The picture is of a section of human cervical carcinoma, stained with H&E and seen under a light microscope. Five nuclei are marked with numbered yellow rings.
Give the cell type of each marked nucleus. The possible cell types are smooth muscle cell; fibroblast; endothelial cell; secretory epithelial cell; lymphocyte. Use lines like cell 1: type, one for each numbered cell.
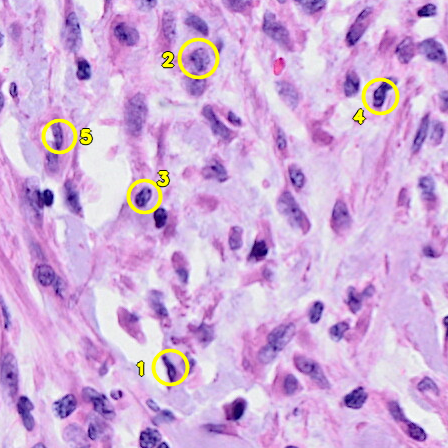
cell 1: fibroblast
cell 2: fibroblast
cell 3: lymphocyte
cell 4: lymphocyte
cell 5: endothelial cell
